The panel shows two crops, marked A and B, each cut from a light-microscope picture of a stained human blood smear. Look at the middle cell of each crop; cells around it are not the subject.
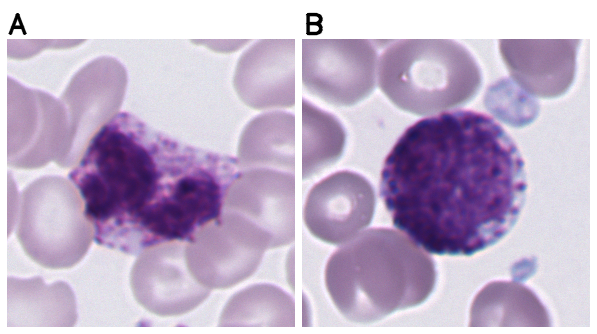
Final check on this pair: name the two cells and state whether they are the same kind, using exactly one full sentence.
Yes, as for both crops, the cells shown are basophils.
